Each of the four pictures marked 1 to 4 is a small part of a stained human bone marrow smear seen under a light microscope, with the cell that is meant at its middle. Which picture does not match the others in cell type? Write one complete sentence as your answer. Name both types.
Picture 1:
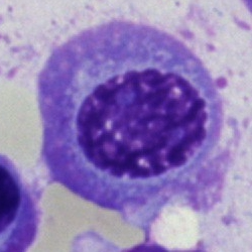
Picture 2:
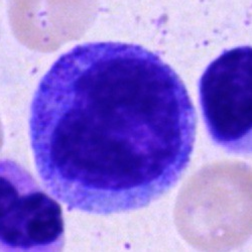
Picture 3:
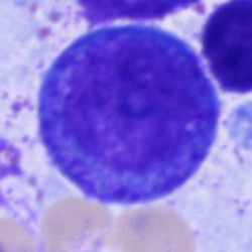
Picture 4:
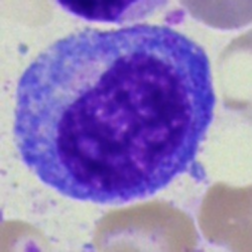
Unlike the rest, which show promyelocytes, picture 1 shows a plasma cell.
